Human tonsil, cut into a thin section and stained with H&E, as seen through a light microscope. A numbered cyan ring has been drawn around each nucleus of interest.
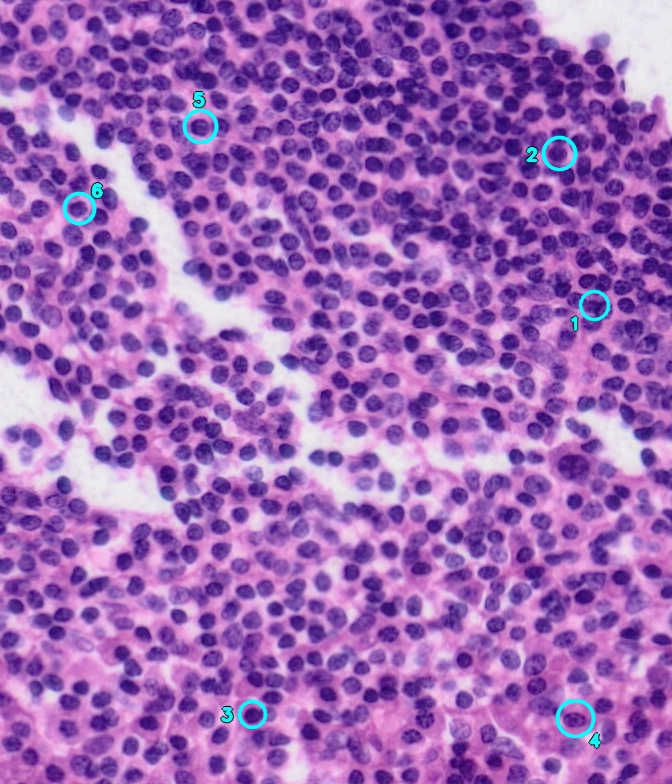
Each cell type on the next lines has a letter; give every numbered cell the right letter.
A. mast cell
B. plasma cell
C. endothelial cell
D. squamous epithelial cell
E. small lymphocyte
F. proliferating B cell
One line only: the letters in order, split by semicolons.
E; E; B; B; E; E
